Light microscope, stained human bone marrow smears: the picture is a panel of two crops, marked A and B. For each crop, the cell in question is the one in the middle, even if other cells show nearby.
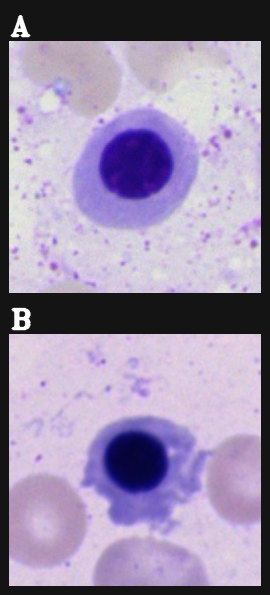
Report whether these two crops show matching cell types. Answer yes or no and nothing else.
yes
